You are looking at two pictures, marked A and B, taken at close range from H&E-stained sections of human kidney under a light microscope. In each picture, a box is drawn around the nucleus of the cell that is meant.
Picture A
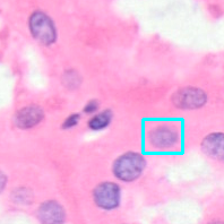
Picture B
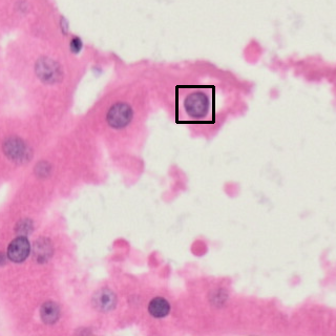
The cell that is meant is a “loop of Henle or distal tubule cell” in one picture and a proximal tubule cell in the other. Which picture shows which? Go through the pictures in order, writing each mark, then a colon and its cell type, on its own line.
A: loop of Henle or distal tubule cell
B: proximal tubule cell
